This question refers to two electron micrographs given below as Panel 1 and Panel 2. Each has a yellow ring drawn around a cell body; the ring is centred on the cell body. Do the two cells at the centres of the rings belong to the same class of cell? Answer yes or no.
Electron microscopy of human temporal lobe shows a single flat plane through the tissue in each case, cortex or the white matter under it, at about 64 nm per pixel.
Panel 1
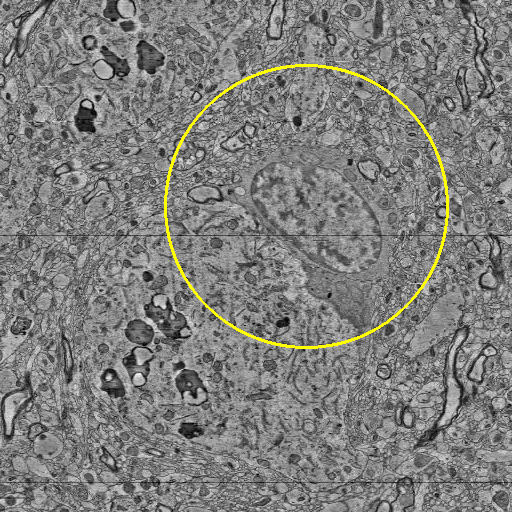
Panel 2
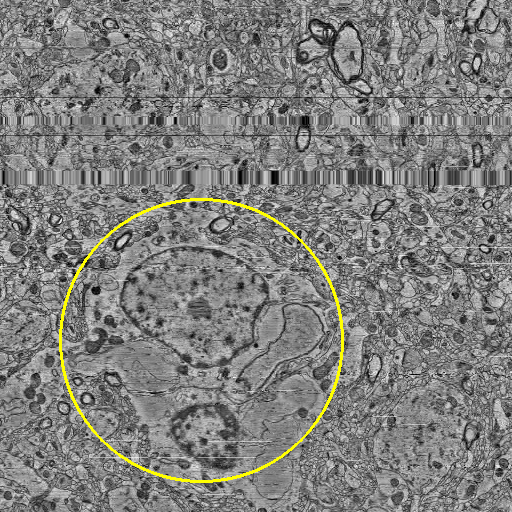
no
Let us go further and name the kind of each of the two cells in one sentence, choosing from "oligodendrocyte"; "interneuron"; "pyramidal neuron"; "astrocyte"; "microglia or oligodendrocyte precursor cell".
The ring of the first picture is on an oligodendrocyte, the ring of the second on an astrocyte.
